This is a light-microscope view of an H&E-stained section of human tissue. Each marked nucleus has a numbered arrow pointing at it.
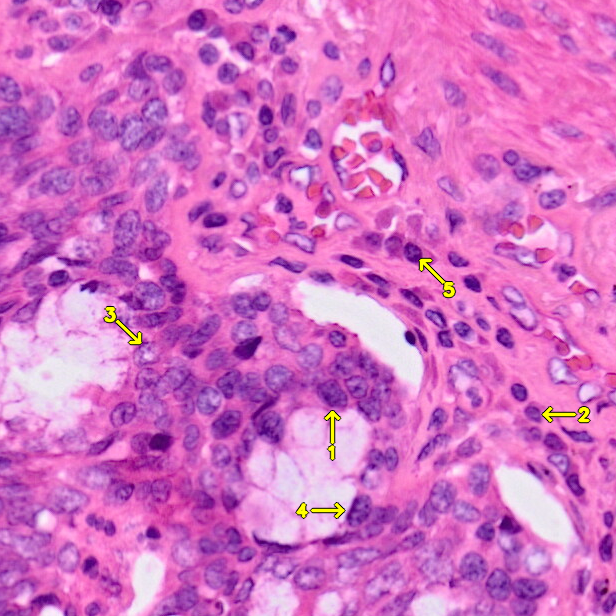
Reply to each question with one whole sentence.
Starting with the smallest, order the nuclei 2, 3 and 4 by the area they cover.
The order from the smallest nucleus to the largest is 2, 3, 4.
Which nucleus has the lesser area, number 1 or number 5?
Nucleus 5 is the smaller one; nucleus 1 covers about 2.5 times its area.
